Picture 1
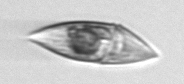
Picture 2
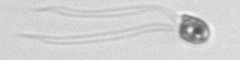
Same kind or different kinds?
Different: the first is Gyrodinium, the second Pyramimonas.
